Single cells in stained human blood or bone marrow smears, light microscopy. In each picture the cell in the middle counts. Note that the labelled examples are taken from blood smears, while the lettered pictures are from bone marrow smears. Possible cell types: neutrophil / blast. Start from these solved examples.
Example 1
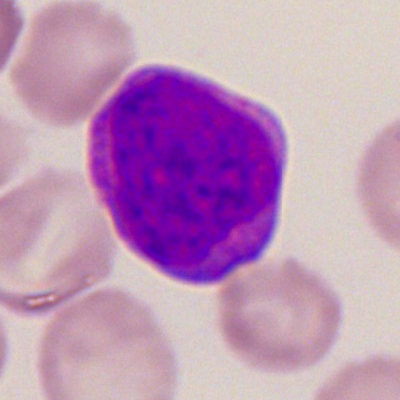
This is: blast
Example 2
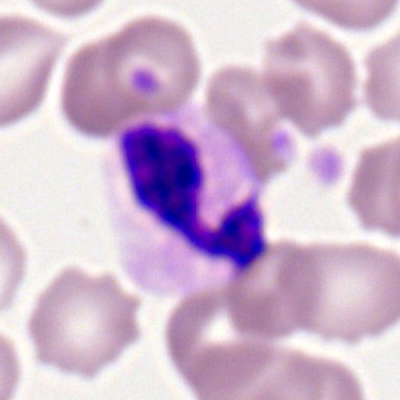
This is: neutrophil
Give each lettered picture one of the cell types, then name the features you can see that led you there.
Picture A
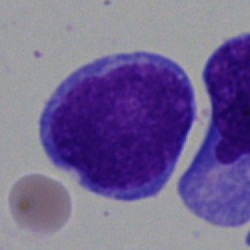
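blast. Evidence: The cytoplasm forms only a thin rim around the nucleus.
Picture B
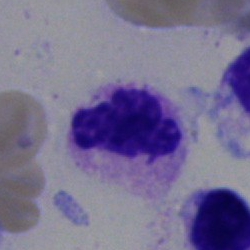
neutrophil. Evidence: The chromatin is dark purple and coarsely clumped.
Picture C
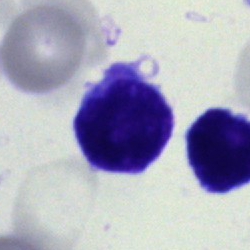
blast. Evidence: Cytoplasm is scant, showing at most as a thin rim.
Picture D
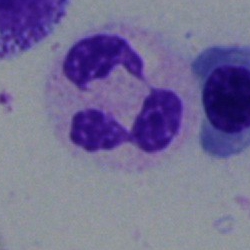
neutrophil. Evidence: The chromatin is dark purple and coarsely clumped.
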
